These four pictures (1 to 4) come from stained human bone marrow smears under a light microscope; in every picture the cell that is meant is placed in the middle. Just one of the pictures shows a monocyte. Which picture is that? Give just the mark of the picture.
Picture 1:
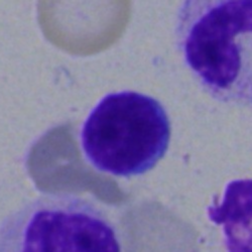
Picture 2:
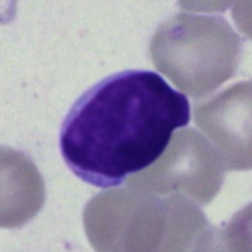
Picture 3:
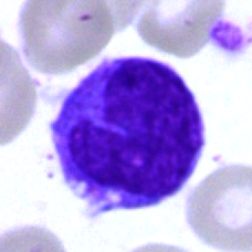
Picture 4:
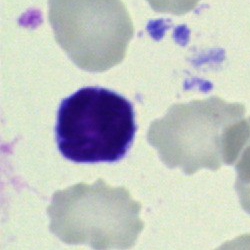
3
